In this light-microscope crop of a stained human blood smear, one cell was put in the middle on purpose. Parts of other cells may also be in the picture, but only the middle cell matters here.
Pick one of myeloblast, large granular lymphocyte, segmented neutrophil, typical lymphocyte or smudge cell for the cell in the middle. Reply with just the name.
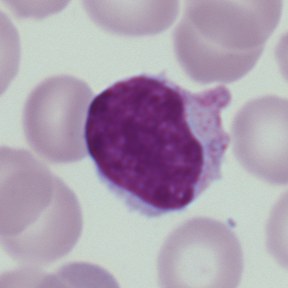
typical lymphocyte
